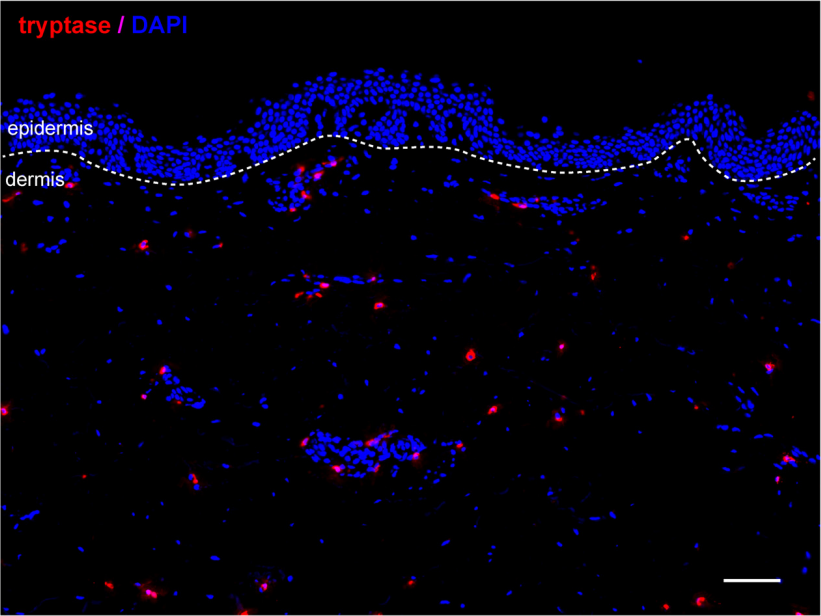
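The epidermis forms a thick, densely nucleated band along the top, with an undulating border to the dermis below. The dermis is sparsely nucleated, with elongated nuclei spread through the connective tissue. No red cells are seen in the epidermis.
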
